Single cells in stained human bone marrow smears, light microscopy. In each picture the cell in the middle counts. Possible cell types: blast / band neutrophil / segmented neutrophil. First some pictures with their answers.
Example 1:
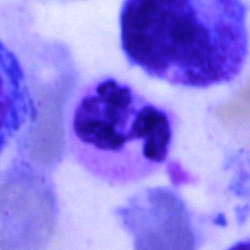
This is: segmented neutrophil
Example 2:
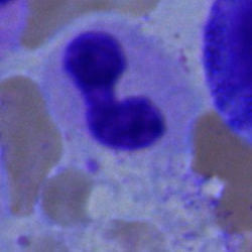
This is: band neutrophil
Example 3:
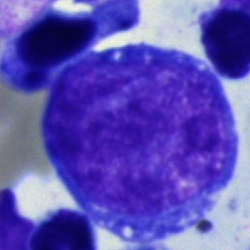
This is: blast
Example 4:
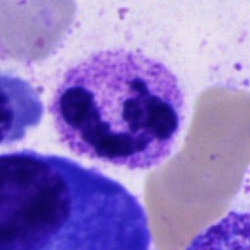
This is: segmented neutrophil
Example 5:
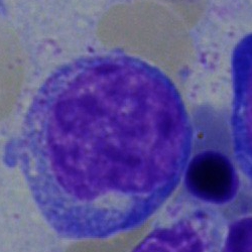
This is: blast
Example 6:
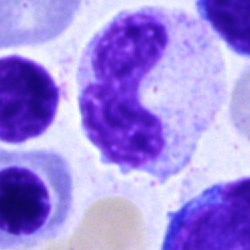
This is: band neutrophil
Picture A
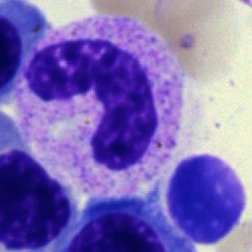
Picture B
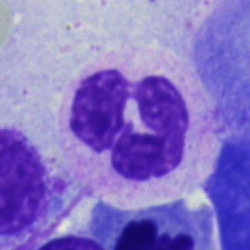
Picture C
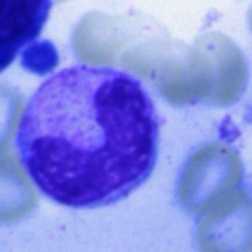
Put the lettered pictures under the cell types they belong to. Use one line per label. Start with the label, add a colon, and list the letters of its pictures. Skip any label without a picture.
band neutrophil: A, C
segmented neutrophil: B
